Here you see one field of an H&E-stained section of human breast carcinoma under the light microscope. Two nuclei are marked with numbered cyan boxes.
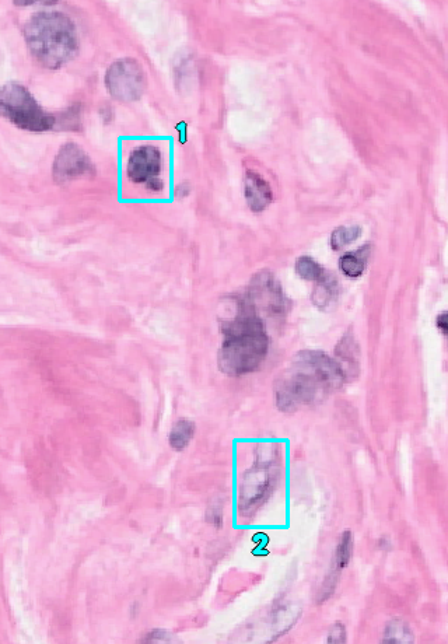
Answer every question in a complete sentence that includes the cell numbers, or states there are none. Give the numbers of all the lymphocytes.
Cell 1 is a lymphocyte; no further numbered cell is.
